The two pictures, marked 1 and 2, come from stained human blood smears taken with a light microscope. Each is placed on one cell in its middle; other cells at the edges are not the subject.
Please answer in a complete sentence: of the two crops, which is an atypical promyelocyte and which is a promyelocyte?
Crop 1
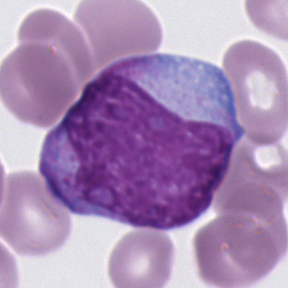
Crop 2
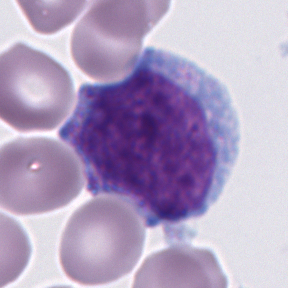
The cell in crop 1 is an atypical promyelocyte, and the one in crop 2 is a promyelocyte.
